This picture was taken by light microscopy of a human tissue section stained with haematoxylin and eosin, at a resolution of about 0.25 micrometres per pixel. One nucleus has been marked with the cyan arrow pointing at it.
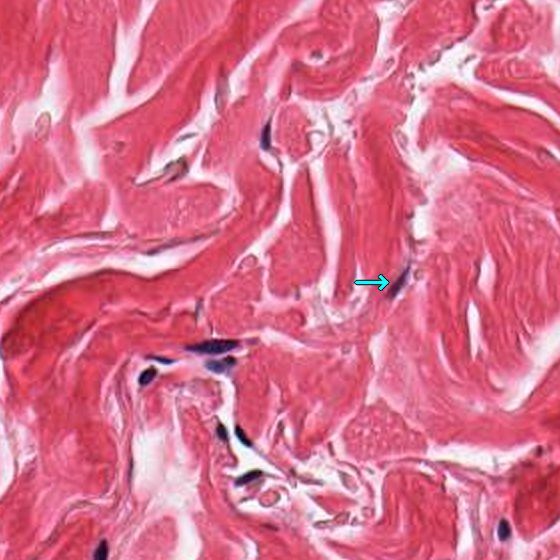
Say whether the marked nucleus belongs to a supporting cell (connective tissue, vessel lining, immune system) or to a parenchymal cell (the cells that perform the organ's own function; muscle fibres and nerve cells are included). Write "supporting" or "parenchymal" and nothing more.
supporting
